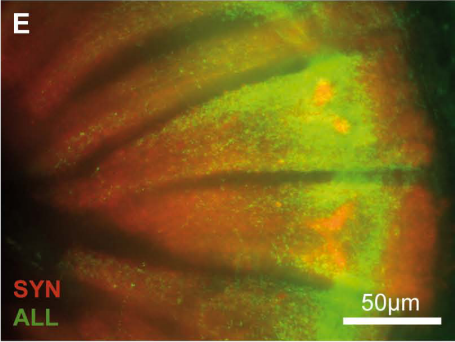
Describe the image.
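At higher magnification the olfactory neuropil shows elongated, wedge-shaped glomeruli lying side by side and fanning out from a common centre toward the periphery. Narrow dark clefts run between neighbouring glomeruli. A band of green label crosses the outer portion of the glomeruli, giving a yellow-green zone where it overlaps the red, while the innermost parts stay mostly red. Small bright orange spots sit within the outer part of some glomeruli.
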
